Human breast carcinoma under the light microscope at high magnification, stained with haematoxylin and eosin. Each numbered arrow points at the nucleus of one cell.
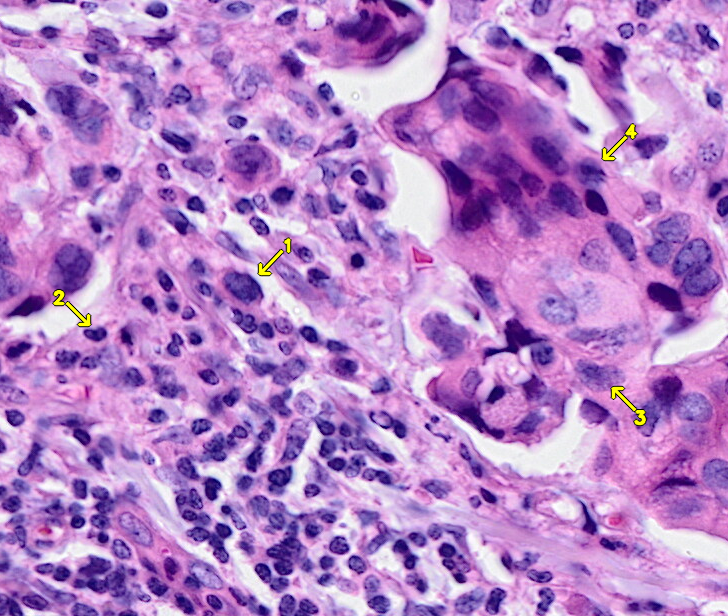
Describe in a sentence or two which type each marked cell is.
Cells 1, 3 and 4 are carcinoma cells. Cell 2 is a lymphocyte.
